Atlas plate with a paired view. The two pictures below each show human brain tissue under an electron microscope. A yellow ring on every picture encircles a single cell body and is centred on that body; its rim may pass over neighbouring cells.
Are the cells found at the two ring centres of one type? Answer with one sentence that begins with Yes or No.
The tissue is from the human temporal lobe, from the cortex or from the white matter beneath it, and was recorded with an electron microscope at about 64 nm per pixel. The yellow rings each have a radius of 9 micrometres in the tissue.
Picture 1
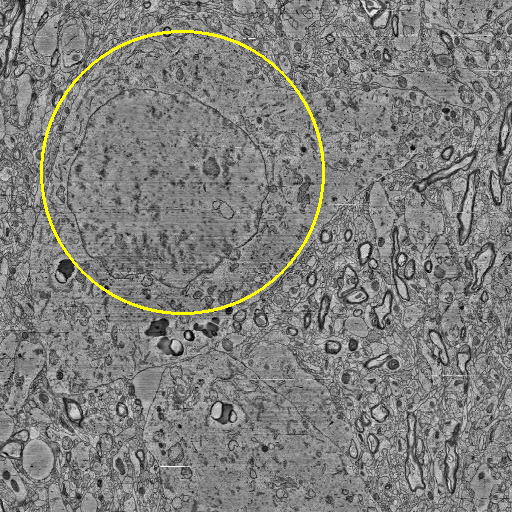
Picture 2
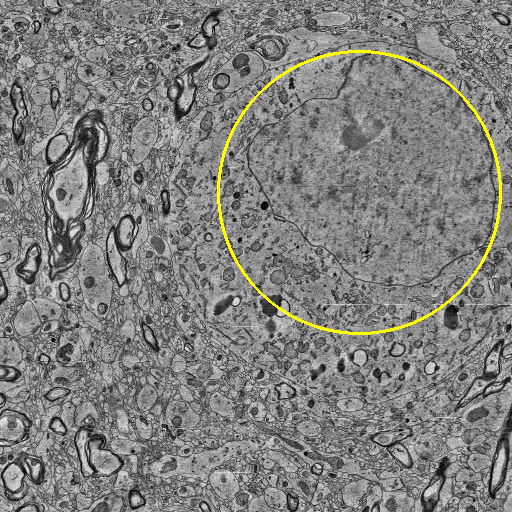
Yes, the two cells lying at the centres of the rings share a single type.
